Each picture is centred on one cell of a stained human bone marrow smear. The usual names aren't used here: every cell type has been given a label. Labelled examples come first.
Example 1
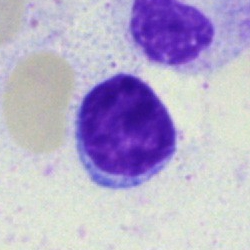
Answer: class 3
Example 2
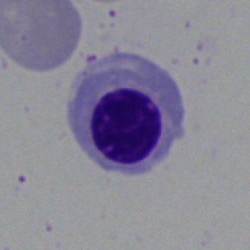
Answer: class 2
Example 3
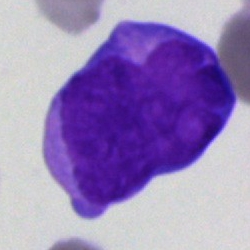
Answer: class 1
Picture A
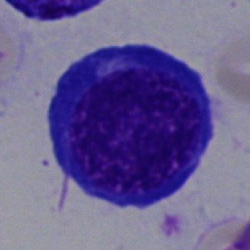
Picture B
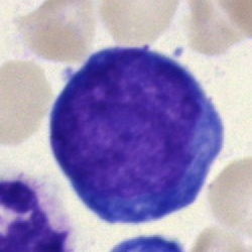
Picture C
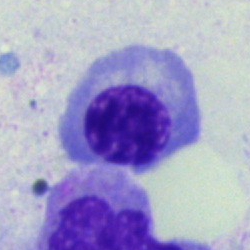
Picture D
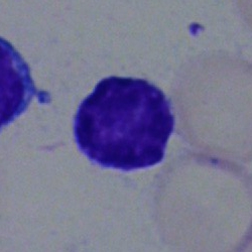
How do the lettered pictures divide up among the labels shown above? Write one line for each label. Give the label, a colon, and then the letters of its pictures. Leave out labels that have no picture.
class 3: D
class 2: A, C
class 1: B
